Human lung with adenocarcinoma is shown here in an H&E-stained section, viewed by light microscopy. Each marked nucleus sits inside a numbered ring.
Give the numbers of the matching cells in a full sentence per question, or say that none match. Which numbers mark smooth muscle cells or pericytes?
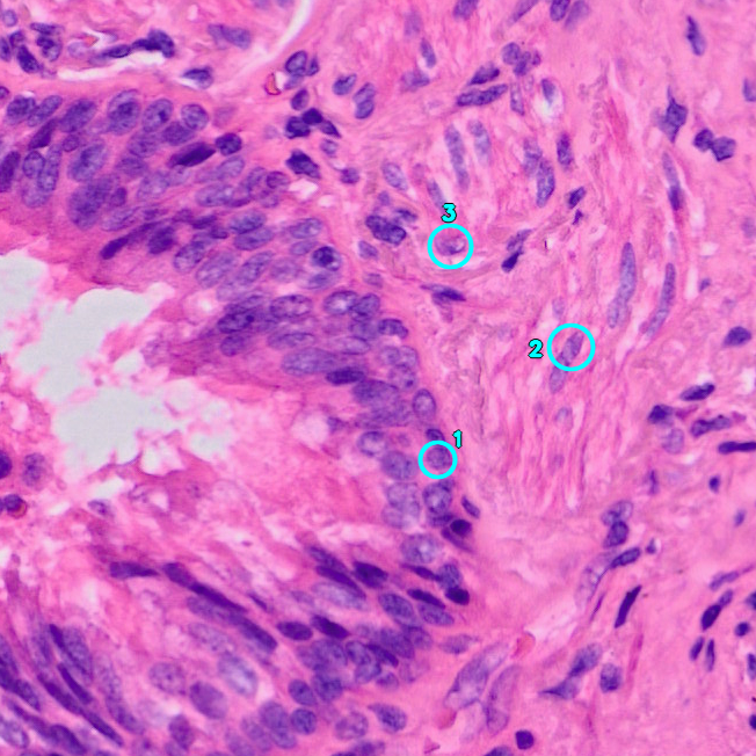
As for the cells numbered 2 and 3, they are smooth muscle cells or pericytes.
